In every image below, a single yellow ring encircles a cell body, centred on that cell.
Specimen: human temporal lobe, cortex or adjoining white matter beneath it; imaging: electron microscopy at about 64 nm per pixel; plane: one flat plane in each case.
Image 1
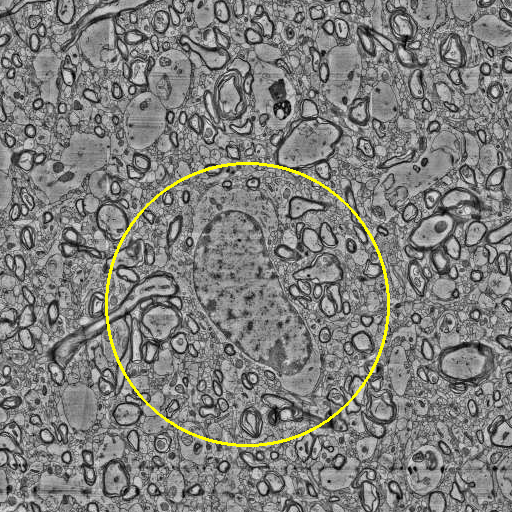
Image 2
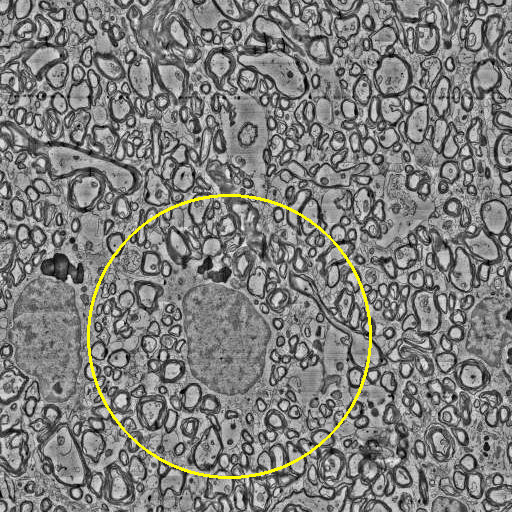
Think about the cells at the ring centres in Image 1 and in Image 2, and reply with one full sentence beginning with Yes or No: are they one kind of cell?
No, the cells centred in the rings of Image 1 and Image 2 are two kinds of cell.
